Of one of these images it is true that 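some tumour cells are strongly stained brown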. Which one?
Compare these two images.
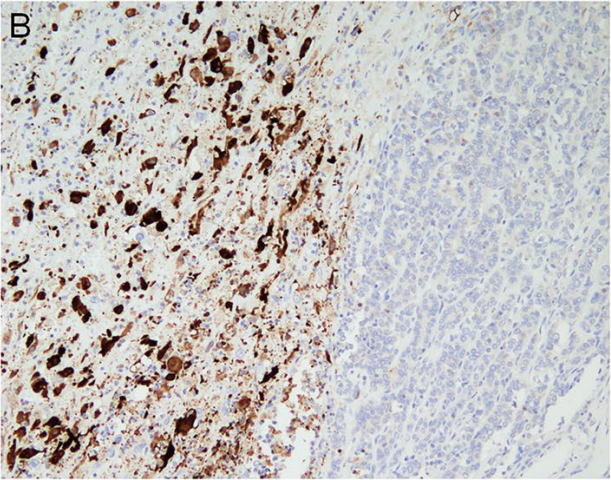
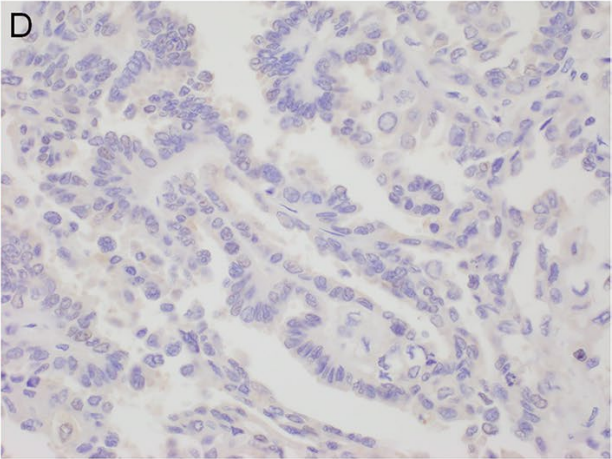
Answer: the first image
